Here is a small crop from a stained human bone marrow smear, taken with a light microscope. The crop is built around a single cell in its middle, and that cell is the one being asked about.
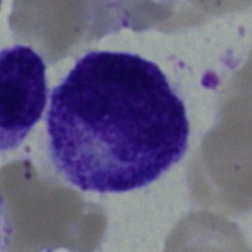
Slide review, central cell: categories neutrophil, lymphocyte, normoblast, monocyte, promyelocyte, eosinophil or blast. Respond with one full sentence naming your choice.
The cell occupying the middle of the crop is a promyelocyte.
